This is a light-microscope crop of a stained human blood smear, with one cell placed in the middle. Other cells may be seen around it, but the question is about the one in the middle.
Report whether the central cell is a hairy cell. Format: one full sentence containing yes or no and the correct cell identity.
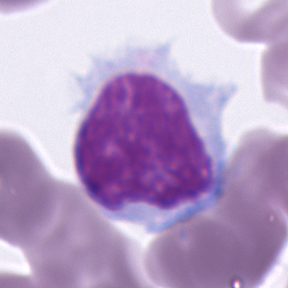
Yes, the central cell of this crop corresponds to a hairy cell.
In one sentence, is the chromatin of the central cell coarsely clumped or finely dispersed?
The key point is fine chromatin with no coarse clumps.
